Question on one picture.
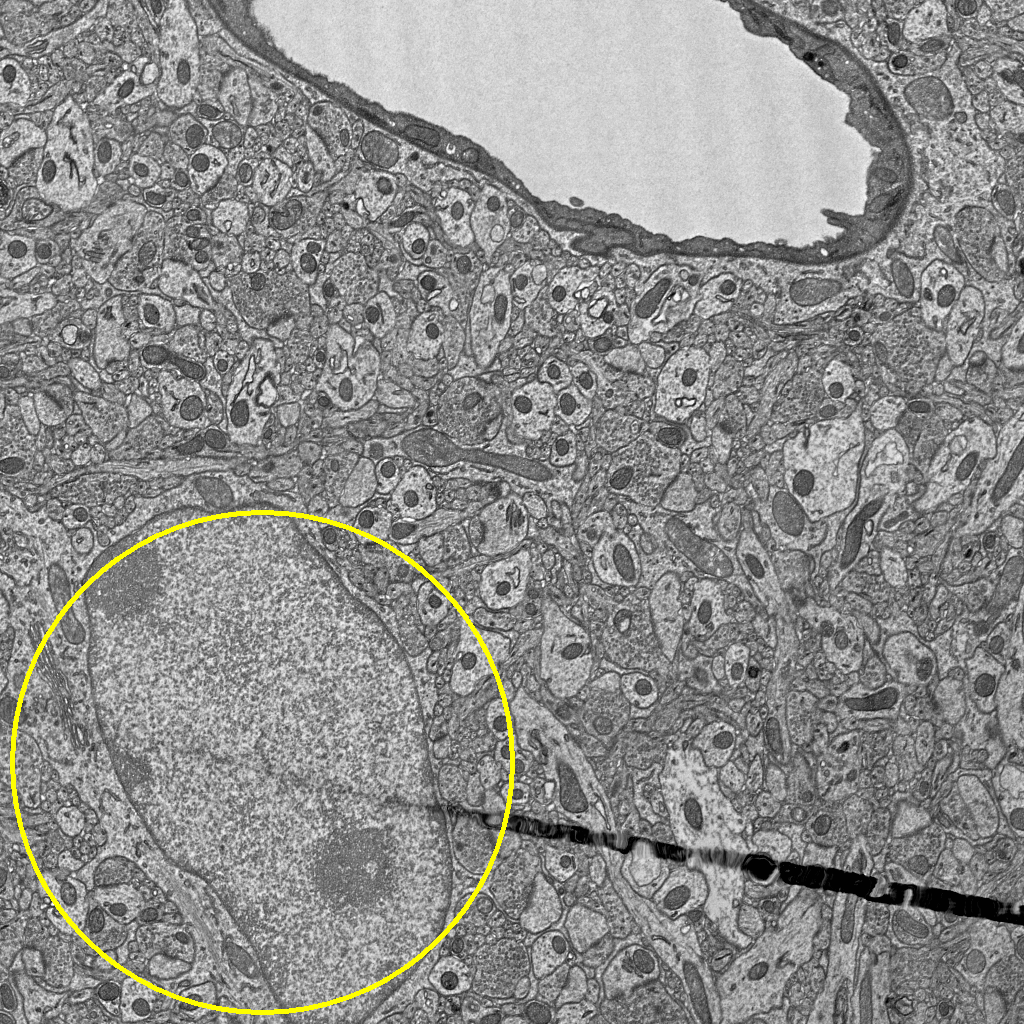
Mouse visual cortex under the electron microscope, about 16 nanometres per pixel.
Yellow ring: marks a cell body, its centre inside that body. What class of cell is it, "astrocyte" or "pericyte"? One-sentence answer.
This is an astrocyte, the cell at the ring's centre.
